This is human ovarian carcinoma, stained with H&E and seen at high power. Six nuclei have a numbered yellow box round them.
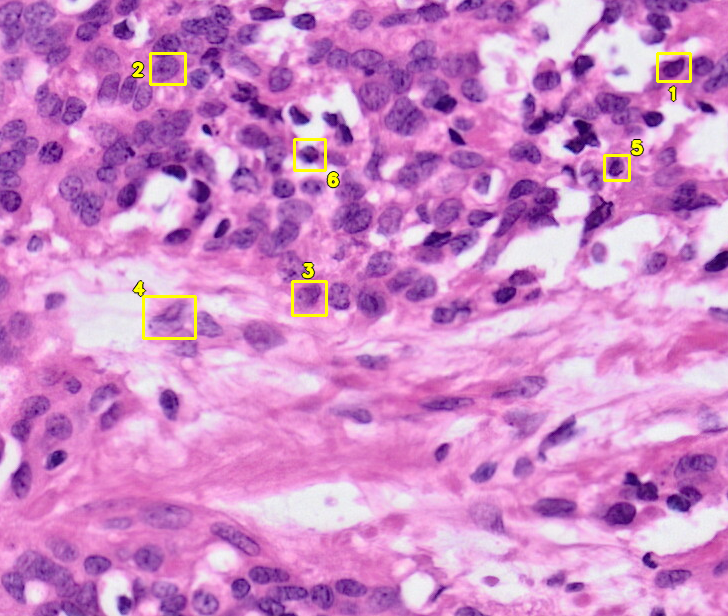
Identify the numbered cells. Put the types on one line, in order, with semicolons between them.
carcinoma cell; carcinoma cell; carcinoma cell; fibroblast; macrophage or monocyte; carcinoma cell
